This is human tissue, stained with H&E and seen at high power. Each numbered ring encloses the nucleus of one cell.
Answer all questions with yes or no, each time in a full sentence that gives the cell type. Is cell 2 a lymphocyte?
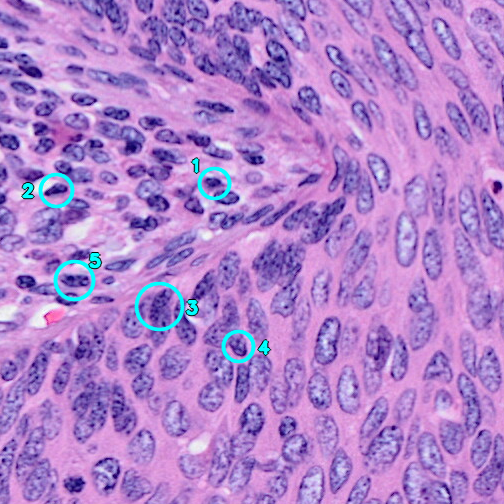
Yes, the cell tagged with the number 2 is a lymphocyte.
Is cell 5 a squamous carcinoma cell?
No, the cell under number 5 is a lymphocyte, not a squamous carcinoma cell.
